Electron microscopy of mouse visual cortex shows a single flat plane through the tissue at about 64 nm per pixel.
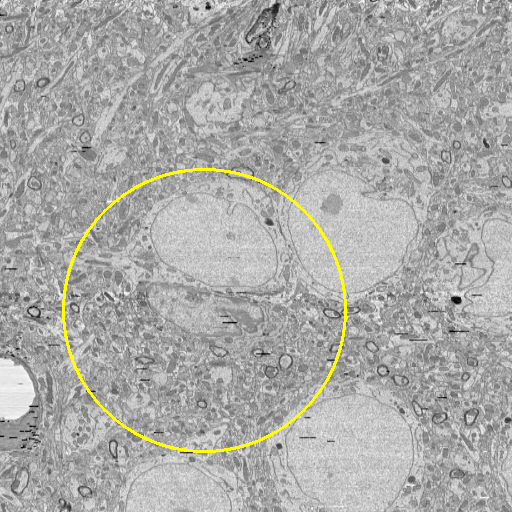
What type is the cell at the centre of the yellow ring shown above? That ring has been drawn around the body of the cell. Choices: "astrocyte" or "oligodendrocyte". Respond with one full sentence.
My answer is that an oligodendrocyte lies at the centre of the yellow ring above.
